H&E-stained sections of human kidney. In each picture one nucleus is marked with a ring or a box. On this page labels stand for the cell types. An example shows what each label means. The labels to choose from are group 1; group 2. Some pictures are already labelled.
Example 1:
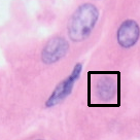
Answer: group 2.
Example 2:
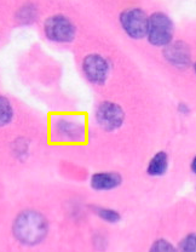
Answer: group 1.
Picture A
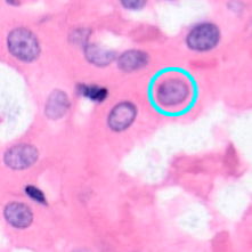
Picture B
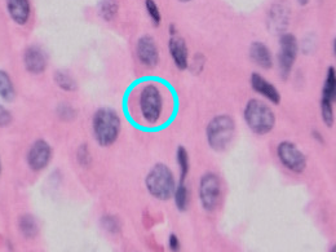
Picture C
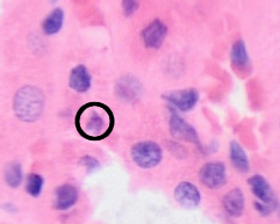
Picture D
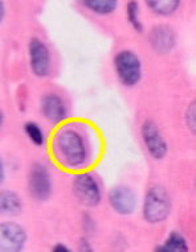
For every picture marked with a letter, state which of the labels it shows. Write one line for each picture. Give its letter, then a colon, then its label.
A: group 2.
B: group 1.
C: group 1.
D: group 1.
